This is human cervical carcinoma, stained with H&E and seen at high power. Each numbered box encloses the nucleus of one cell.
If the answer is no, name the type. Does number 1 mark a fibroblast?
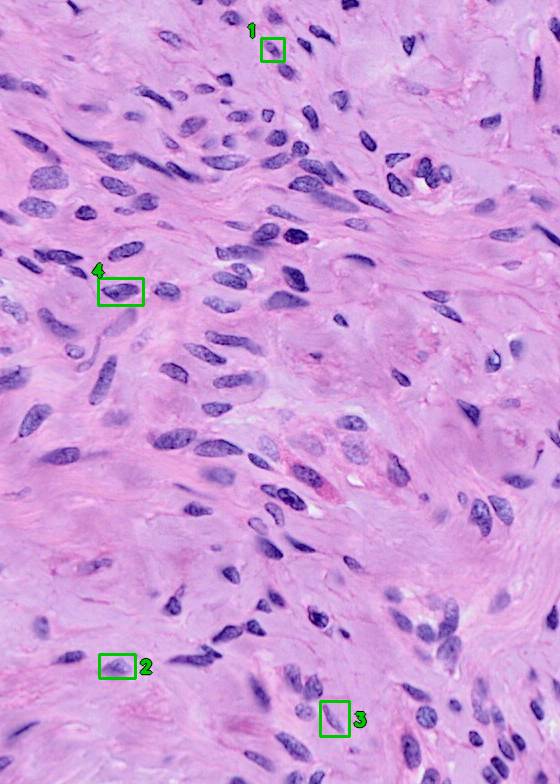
No, it is a smooth muscle cell.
